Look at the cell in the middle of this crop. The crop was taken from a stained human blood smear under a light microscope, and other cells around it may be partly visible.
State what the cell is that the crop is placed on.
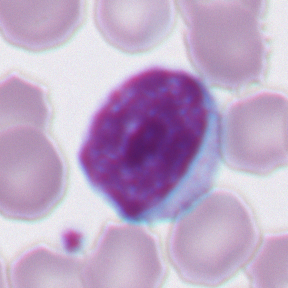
typical lymphocyte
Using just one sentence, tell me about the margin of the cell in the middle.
Nothing juts out from the margin, which is smooth throughout.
